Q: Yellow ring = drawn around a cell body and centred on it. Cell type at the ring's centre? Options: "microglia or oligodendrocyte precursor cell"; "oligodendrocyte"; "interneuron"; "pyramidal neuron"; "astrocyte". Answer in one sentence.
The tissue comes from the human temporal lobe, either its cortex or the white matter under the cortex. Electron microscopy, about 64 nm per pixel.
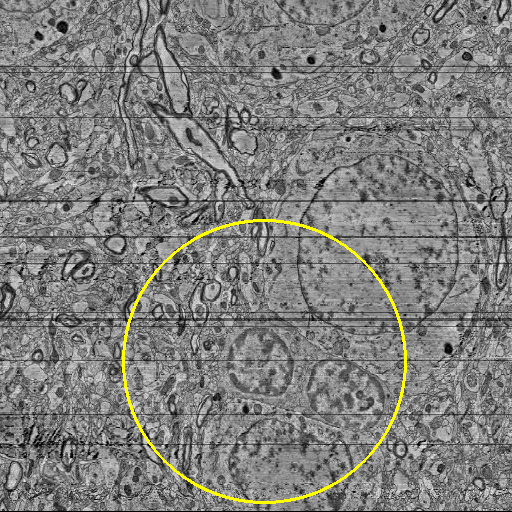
Centred in the ring is an oligodendrocyte.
